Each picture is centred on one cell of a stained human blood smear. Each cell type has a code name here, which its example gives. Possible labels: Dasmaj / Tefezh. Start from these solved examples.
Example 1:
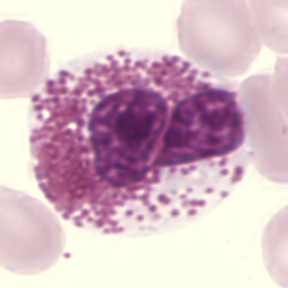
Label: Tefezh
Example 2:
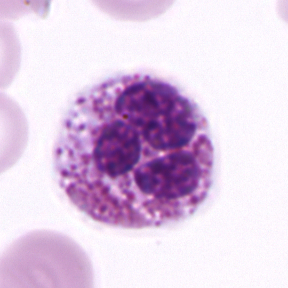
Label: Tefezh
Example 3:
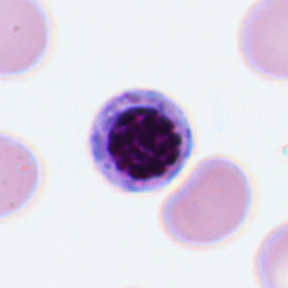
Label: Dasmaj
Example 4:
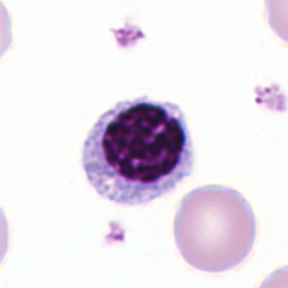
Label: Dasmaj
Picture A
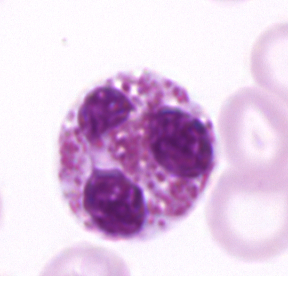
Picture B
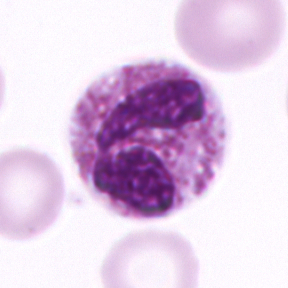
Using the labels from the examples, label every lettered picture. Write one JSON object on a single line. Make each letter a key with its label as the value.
{"A": "Tefezh", "B": "Tefezh"}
